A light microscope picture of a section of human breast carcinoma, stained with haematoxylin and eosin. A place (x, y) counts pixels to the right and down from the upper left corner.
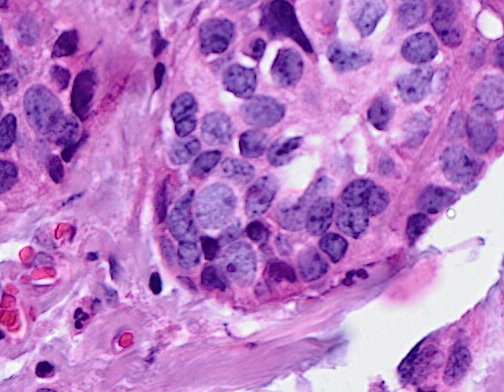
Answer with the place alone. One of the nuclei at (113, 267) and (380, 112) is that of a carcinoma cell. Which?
(380, 112)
